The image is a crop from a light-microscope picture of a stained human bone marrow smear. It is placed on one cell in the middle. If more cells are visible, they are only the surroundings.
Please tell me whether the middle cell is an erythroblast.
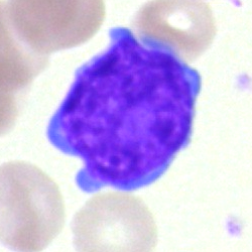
no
